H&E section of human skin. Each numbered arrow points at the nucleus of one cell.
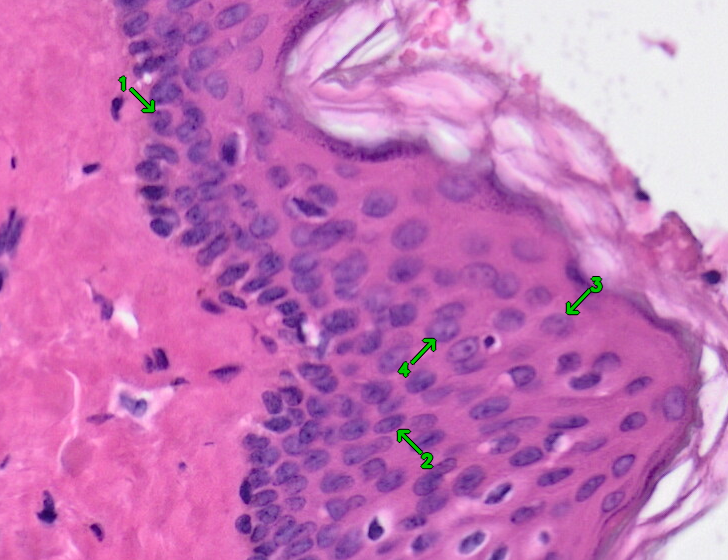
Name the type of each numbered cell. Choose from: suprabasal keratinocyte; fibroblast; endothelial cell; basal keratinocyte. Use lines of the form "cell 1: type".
cell 1: basal keratinocyte
cell 2: suprabasal keratinocyte
cell 3: suprabasal keratinocyte
cell 4: suprabasal keratinocyte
